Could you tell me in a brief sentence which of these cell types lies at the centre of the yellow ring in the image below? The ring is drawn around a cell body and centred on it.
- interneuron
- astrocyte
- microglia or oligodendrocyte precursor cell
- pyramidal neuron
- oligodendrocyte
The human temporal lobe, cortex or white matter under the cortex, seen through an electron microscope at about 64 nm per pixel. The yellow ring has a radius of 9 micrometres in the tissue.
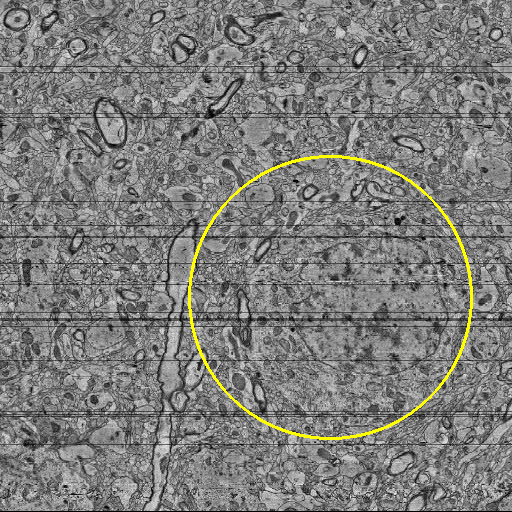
The cell centred in the ring is an interneuron.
